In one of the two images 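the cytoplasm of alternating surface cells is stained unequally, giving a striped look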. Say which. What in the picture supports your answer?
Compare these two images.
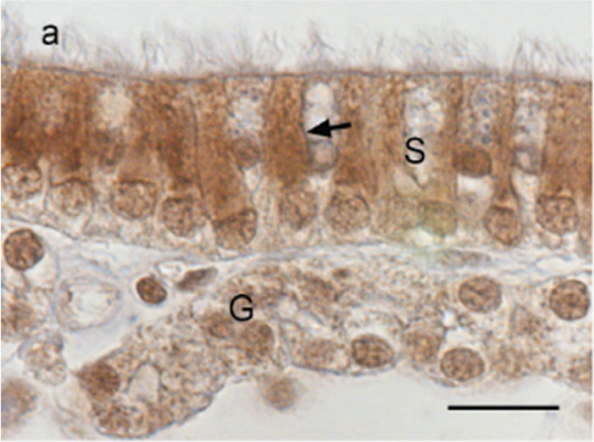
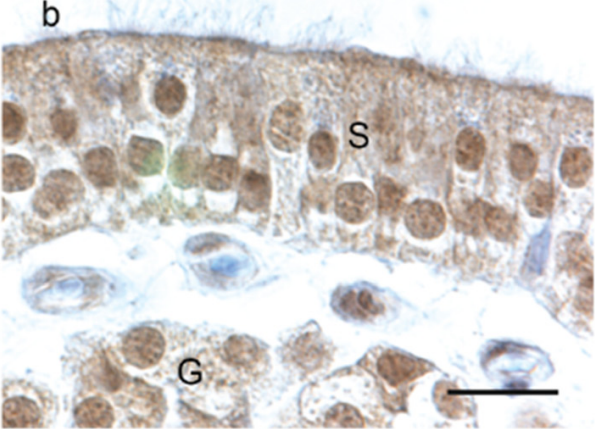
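The first image. Second image: the surface epithelial cells have fairly even, moderate brown cytoplasm. First image: dark brown columnar cells alternate with pale cells along the epithelium, forming stripes.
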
